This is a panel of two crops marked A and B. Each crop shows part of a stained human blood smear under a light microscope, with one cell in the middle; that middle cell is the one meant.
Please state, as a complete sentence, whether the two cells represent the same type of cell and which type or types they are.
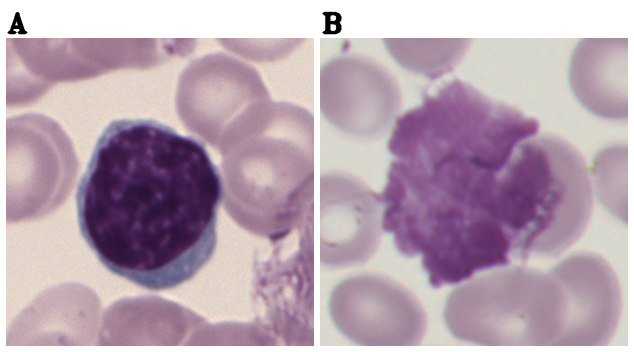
No, crop A captures a typical lymphocyte, and crop B captures a smudge cell.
